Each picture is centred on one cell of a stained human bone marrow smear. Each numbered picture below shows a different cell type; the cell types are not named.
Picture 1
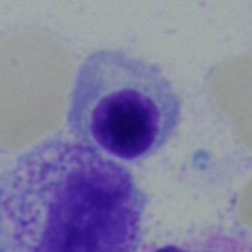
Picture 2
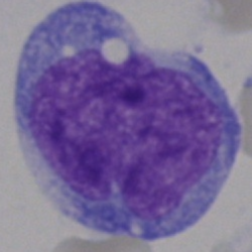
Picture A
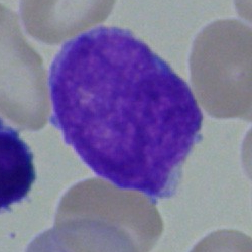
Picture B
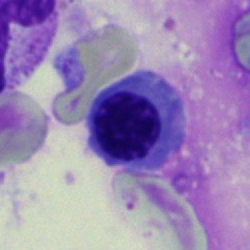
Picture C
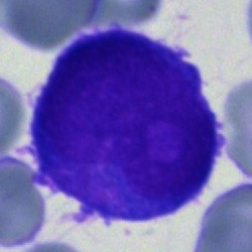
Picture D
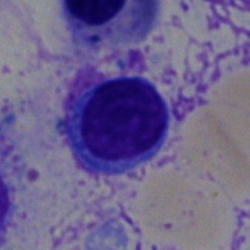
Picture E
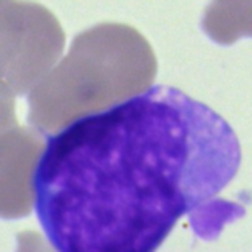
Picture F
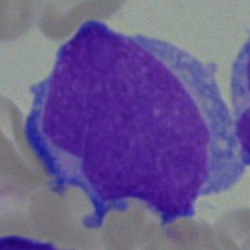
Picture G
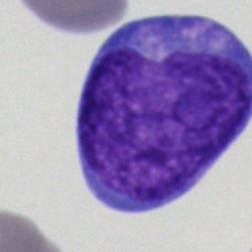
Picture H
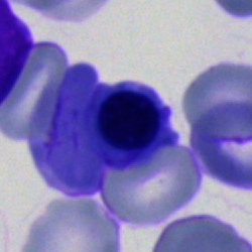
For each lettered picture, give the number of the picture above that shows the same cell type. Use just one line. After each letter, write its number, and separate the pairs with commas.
A 2, B 1, C 2, D 1, E 2, F 2, G 2, H 1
